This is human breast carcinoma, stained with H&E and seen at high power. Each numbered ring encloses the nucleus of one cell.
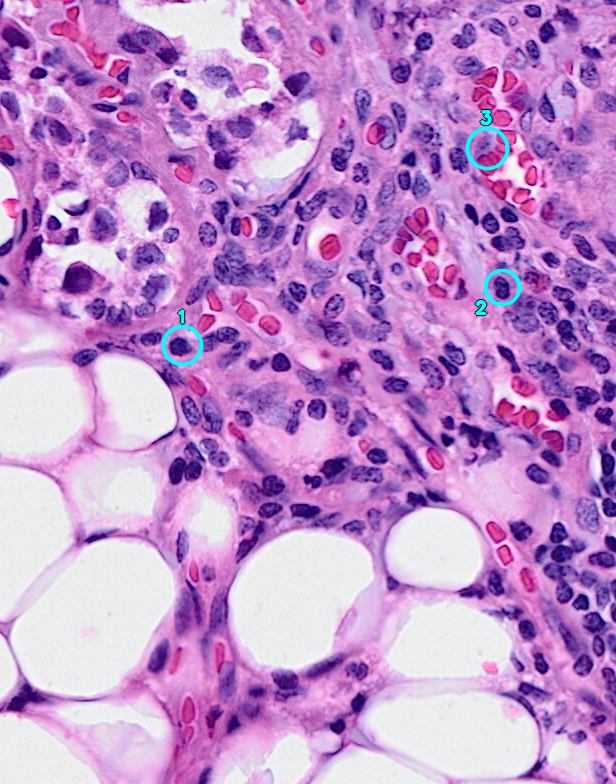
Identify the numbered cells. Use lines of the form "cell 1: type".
cell 1: lymphocyte
cell 2: lymphocyte
cell 3: endothelial cell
